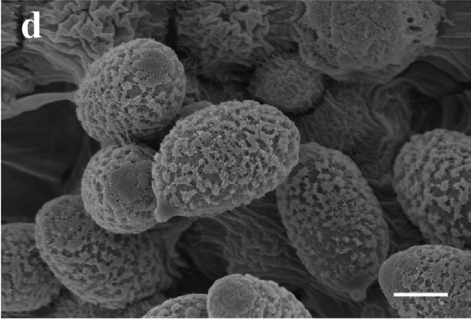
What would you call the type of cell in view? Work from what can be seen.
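Basidiospores. Many ovoid to ellipsoid bodies lie crowded together. Their surfaces bear coarse irregular warts. One body has a small projection at its lower end.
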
